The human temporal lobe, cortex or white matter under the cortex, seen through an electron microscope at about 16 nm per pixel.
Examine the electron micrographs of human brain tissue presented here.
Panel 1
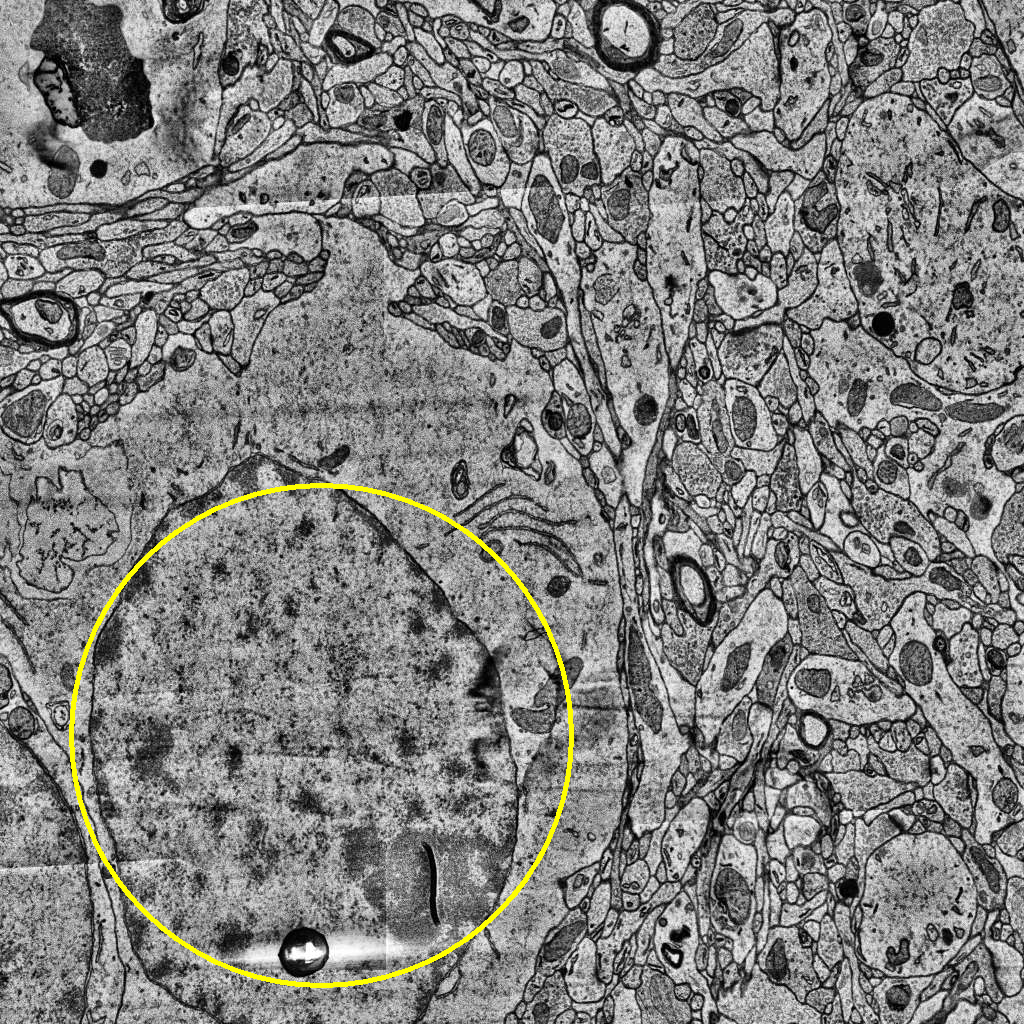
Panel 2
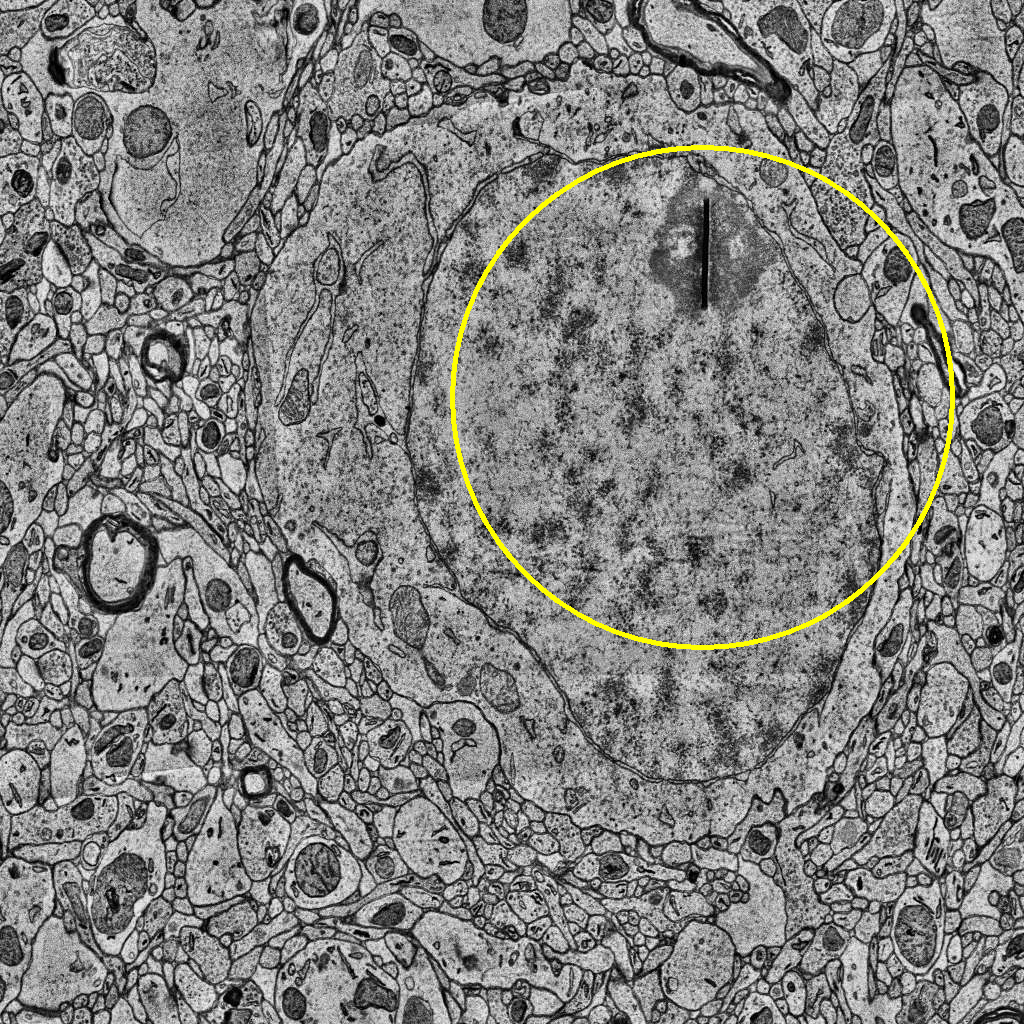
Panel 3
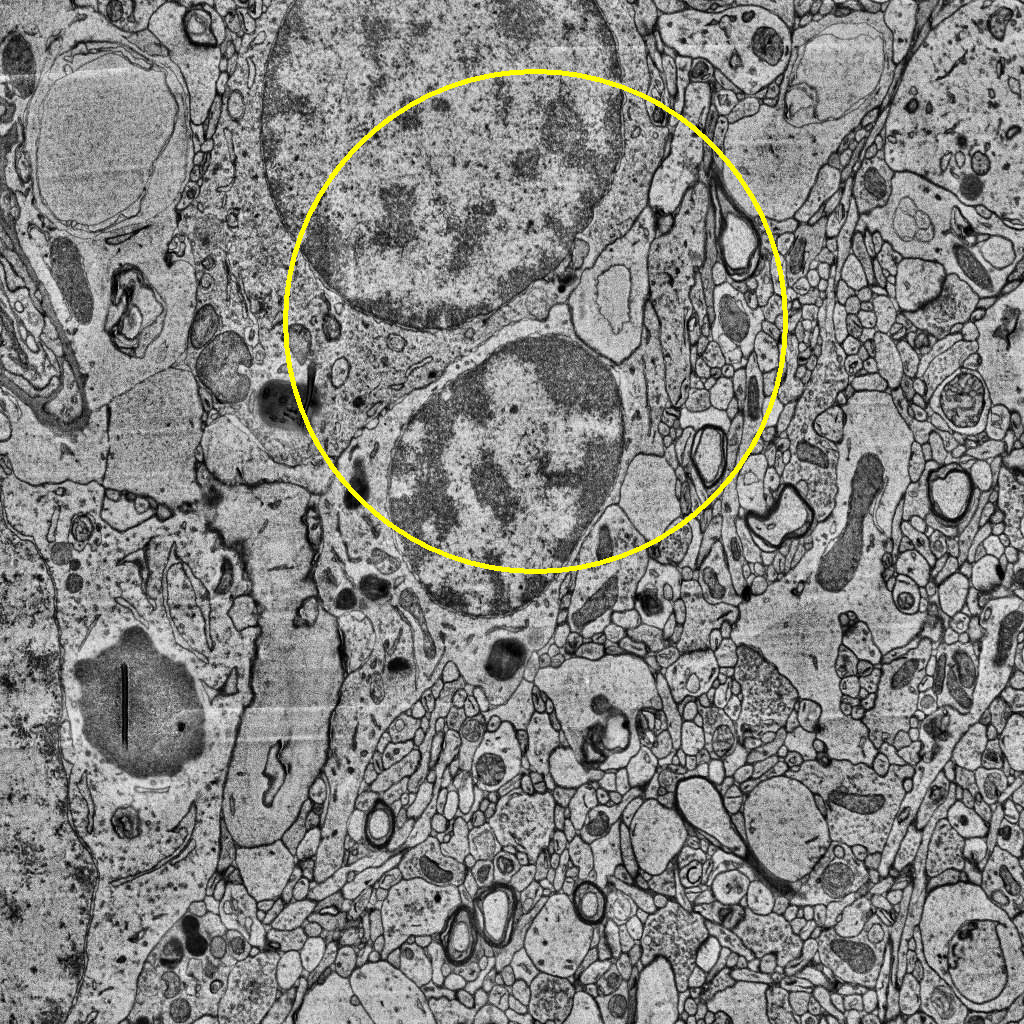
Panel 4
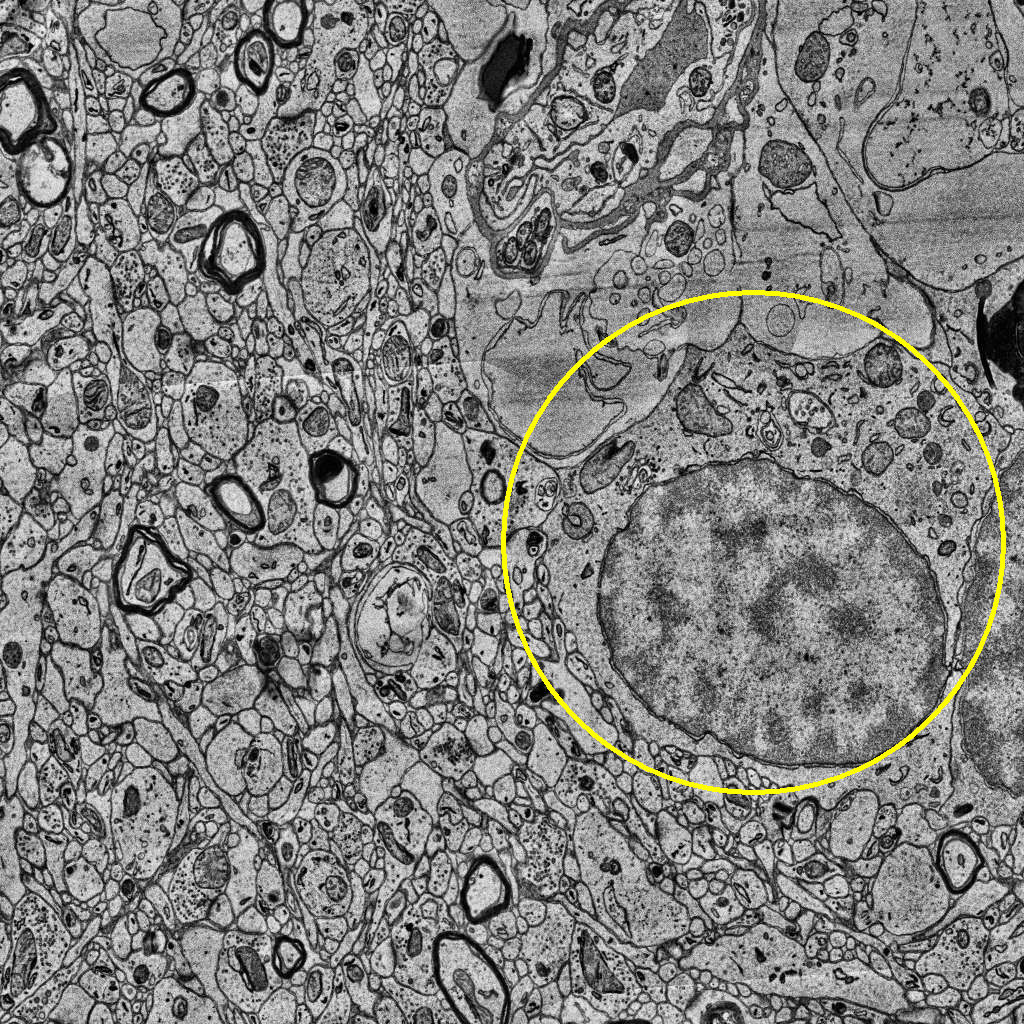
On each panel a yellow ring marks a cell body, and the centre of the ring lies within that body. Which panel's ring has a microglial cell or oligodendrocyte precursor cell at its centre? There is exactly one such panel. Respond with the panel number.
3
